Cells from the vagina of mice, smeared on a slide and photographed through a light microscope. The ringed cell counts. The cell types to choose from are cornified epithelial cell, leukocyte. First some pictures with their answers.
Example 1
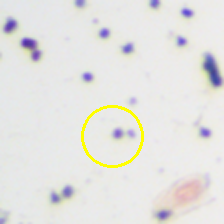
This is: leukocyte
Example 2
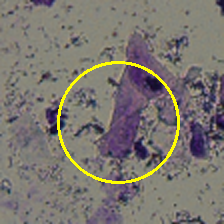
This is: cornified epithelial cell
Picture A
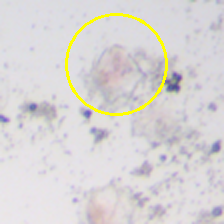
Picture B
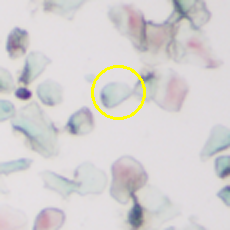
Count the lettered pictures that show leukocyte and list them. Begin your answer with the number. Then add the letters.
0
